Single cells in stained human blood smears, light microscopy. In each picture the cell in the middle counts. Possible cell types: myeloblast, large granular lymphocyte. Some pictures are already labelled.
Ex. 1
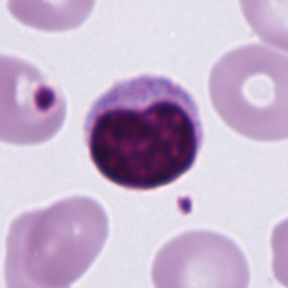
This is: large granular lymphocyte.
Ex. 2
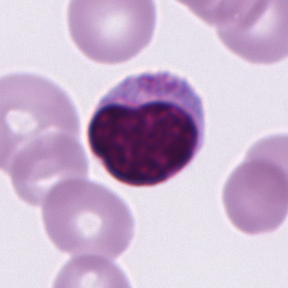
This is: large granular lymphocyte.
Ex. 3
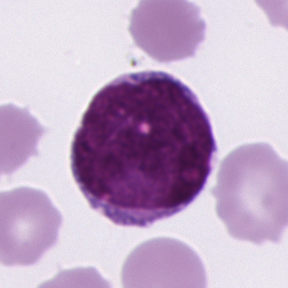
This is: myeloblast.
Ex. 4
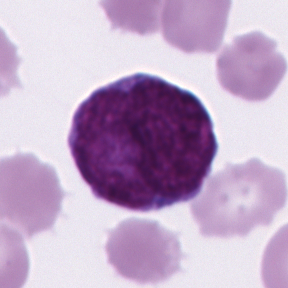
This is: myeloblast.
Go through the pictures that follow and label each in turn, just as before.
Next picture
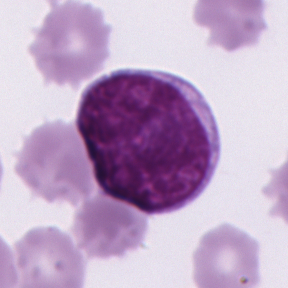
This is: myeloblast.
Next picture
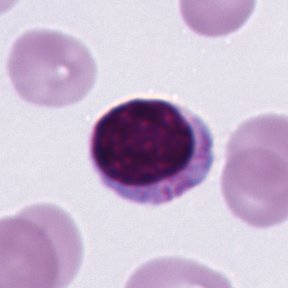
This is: large granular lymphocyte.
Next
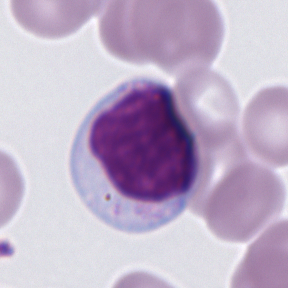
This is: large granular lymphocyte.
